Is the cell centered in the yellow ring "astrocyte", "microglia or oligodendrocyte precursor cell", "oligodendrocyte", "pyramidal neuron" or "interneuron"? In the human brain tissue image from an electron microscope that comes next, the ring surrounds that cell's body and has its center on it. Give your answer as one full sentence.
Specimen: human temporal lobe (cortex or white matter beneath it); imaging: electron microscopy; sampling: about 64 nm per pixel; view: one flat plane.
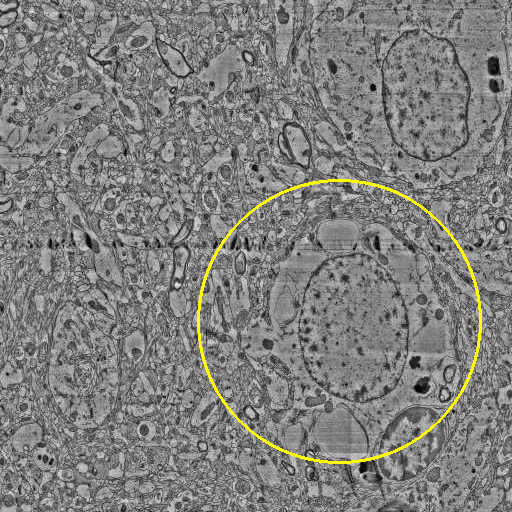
The cell at the center of the yellow ring is an astrocyte in the micrograph.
